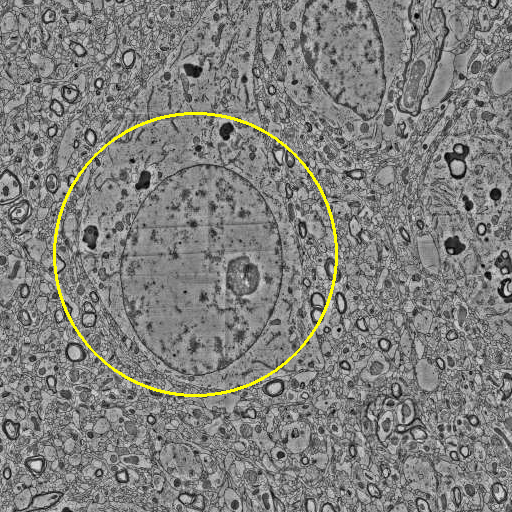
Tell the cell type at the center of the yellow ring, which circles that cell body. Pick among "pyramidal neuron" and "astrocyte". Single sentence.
The ring is centered on the body of a pyramidal neuron.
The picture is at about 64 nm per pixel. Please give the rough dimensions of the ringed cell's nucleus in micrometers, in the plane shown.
In this plane, the nucleus is roughly 14 by 10 micrometres.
